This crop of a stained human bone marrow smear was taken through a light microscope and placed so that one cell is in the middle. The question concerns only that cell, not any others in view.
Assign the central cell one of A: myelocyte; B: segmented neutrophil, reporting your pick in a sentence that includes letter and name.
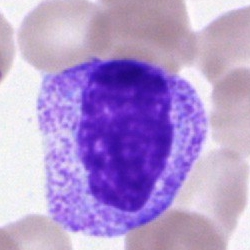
In this crop the central cell is a myelocyte, which option A correctly states.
